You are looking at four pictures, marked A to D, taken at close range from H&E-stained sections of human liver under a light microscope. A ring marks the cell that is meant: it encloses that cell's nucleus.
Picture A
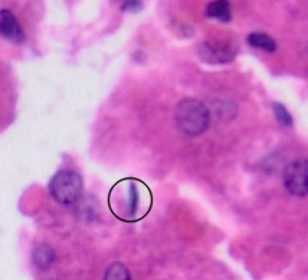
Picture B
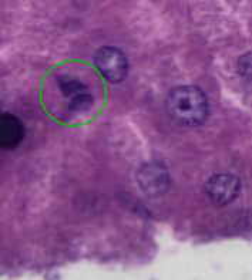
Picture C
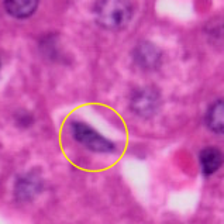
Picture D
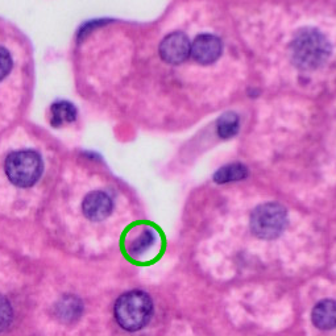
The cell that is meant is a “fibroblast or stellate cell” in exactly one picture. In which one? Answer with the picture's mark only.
B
